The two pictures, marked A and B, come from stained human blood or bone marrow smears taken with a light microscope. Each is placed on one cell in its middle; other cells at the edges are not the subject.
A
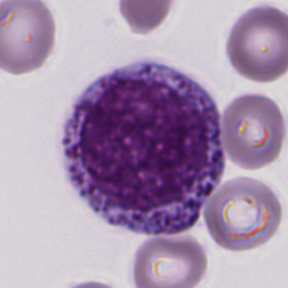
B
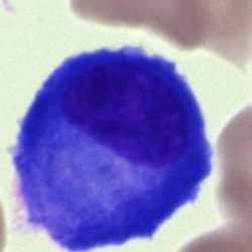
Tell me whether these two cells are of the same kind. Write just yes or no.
no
